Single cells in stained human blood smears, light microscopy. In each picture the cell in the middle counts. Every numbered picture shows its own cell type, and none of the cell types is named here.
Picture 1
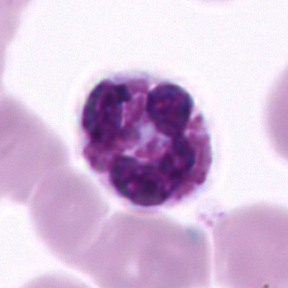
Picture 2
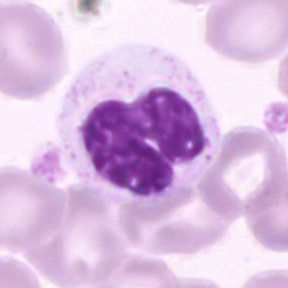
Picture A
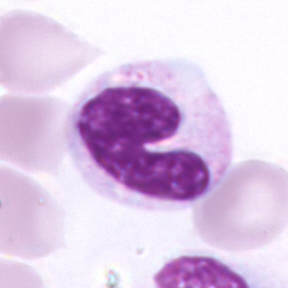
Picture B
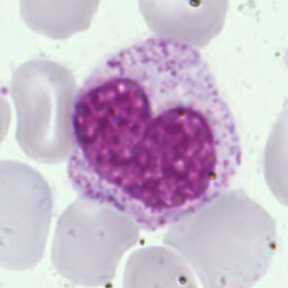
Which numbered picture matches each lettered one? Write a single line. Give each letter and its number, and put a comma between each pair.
A 2, B 2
